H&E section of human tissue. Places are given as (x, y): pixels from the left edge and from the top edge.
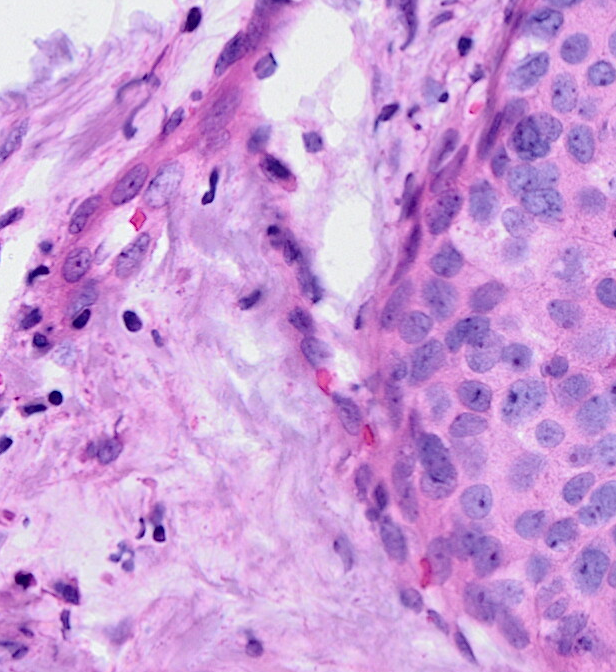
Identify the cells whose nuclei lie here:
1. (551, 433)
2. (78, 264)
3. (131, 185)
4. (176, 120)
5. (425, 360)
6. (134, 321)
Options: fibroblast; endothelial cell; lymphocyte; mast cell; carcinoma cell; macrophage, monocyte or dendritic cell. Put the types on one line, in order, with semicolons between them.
carcinoma cell; endothelial cell; endothelial cell; endothelial cell; carcinoma cell; lymphocyte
